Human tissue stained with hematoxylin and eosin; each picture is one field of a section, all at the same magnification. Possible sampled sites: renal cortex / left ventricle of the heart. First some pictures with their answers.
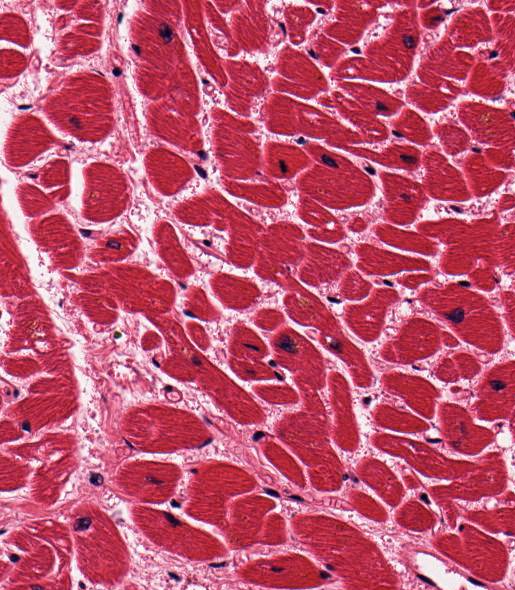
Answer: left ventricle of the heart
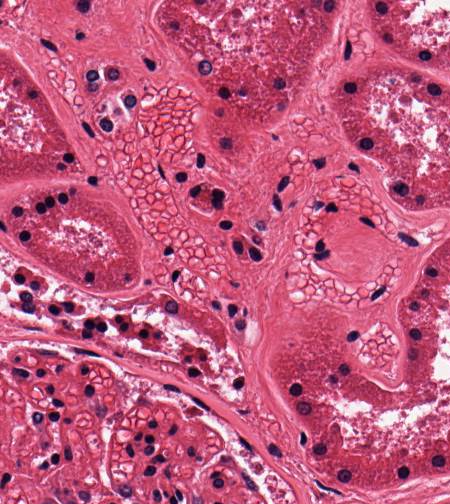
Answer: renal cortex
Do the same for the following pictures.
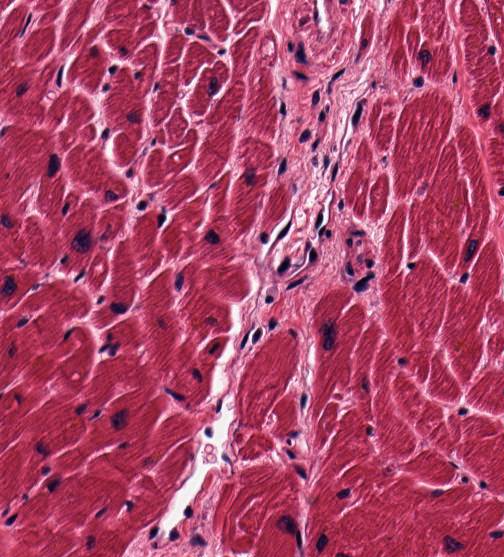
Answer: left ventricle of the heart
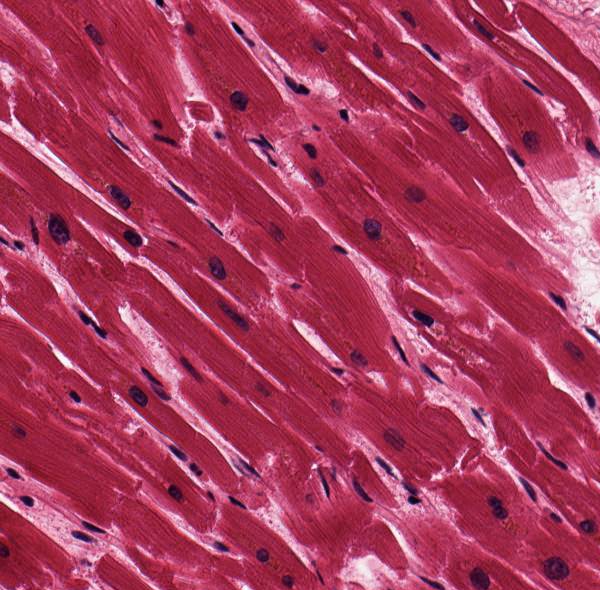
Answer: left ventricle of the heart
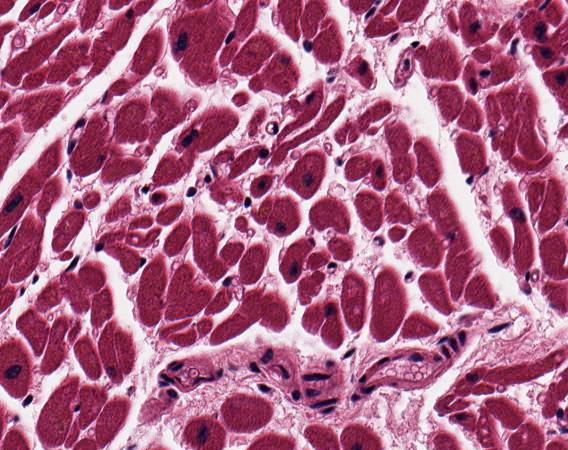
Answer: left ventricle of the heart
